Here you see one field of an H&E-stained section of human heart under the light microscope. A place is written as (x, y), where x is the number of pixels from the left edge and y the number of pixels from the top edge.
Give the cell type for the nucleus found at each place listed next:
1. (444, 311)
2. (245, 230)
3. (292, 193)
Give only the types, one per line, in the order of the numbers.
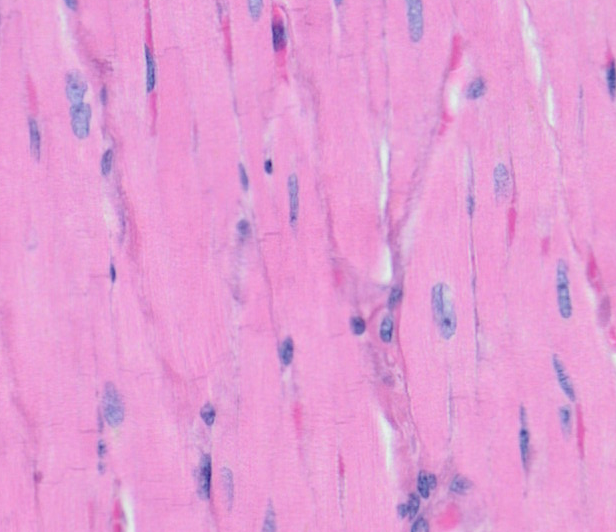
cardiomyocyte
fibroblast
cardiomyocyte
